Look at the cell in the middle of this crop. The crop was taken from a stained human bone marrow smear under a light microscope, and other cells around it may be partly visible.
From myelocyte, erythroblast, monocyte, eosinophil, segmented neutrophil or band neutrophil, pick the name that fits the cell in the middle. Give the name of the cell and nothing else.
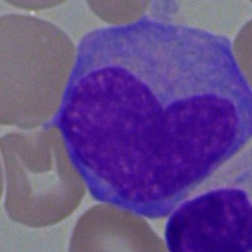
monocyte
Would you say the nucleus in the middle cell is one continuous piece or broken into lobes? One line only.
What stands out is a nucleus forming one compact round, oval or kidney-shaped mass.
